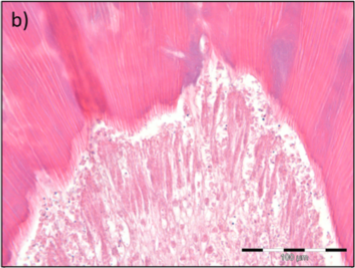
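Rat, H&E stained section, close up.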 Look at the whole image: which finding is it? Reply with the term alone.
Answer: Necrosis of odontoblasts and pulp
